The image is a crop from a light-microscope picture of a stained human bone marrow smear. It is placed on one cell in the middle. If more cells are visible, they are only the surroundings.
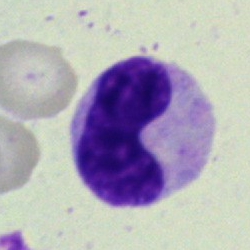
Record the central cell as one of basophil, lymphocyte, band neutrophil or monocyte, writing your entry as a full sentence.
The crop's centre is taken up by a band neutrophil.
